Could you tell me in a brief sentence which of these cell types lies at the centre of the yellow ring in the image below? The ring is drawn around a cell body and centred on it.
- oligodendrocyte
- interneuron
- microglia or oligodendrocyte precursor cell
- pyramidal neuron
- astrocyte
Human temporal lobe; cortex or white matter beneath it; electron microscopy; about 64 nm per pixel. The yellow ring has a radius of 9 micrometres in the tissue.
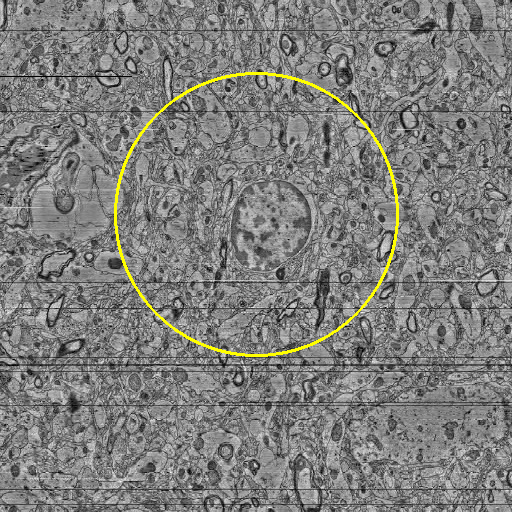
The cell centred in the ring is a microglial cell or oligodendrocyte precursor cell.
